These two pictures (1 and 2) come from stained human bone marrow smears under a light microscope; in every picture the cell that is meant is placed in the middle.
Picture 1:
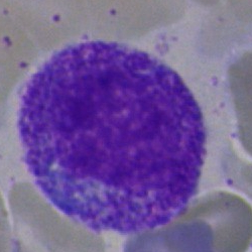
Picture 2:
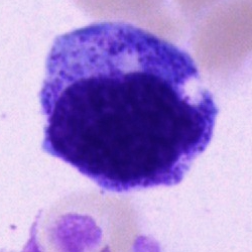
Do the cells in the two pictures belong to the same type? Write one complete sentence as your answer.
Yes, they are the same type: both are promyelocytes.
